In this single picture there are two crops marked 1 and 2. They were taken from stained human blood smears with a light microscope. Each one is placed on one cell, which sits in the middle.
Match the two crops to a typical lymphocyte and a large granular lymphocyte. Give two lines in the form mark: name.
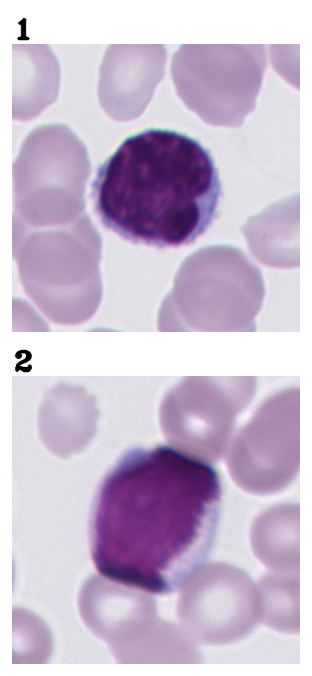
1: typical lymphocyte
2: large granular lymphocyte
